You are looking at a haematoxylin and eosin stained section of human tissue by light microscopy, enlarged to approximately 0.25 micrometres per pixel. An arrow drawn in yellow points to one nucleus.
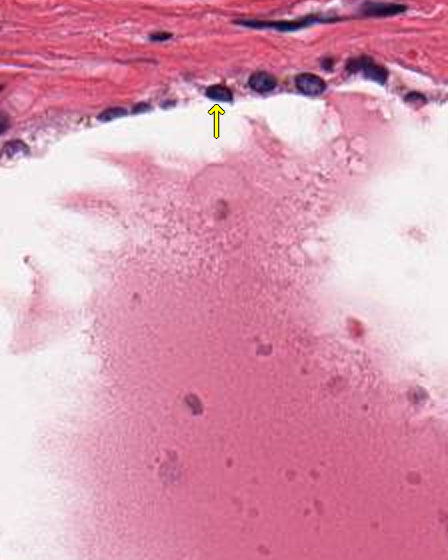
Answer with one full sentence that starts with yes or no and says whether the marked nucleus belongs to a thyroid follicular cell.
Yes, the marked nucleus belongs to a thyroid follicular cell in this image.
